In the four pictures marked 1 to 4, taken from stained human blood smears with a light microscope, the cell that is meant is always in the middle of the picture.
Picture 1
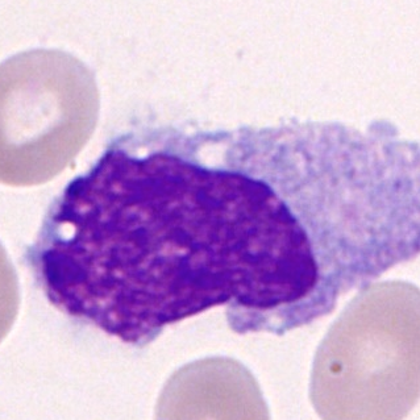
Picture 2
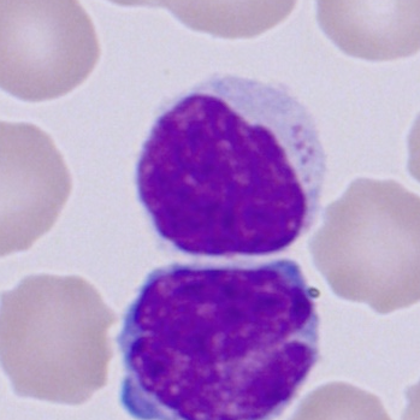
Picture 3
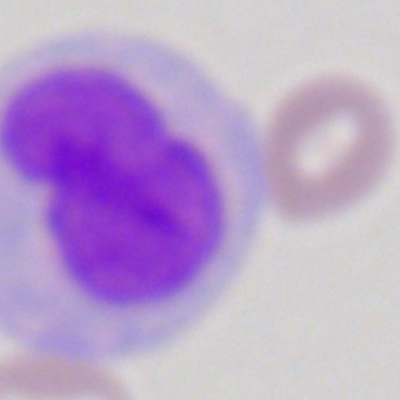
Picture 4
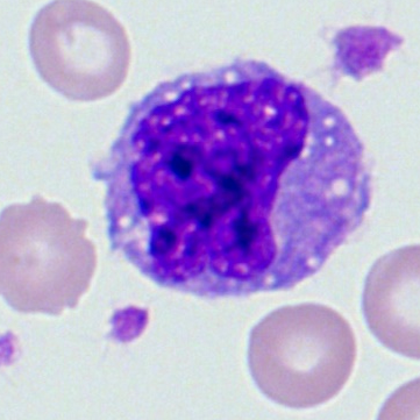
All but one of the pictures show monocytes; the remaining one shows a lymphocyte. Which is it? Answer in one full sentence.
The picture with the lymphocyte is 2.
